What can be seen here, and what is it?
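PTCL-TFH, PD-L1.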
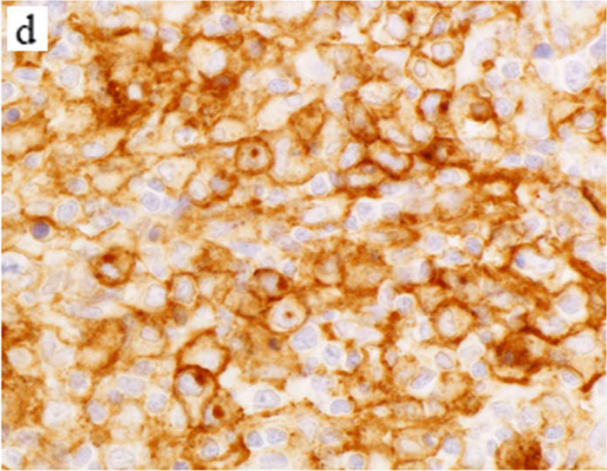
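Diffuse infiltrate of atypical large lymphoid cells mixed with other cells. Large cells with round, pale, vesicular nuclei are outlined by crisp brown membrane staining, giving a ring pattern around each cell. Between them lie broad brown areas of stained cytoplasm and cell processes, where cells with more abundant cytoplasm and branching outlines mingle with the tumour cells. Nuclei are unstained pale blue, some with visible nucleoli. Staining is strong and covers most of the field.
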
